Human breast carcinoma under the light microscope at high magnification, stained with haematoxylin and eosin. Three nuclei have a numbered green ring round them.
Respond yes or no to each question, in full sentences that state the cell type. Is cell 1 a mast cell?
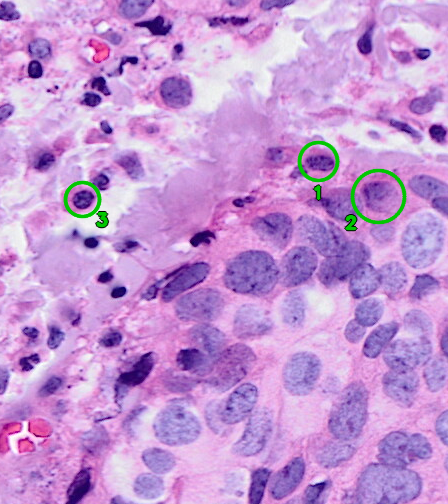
Yes, the cell at the mark numbered 1 is a mast cell.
